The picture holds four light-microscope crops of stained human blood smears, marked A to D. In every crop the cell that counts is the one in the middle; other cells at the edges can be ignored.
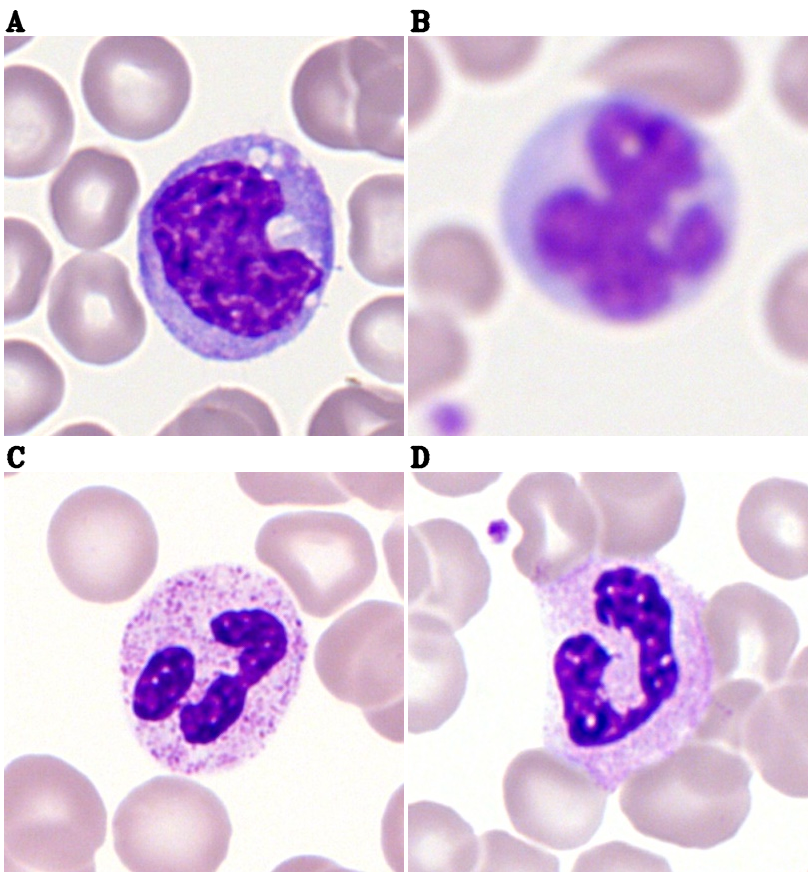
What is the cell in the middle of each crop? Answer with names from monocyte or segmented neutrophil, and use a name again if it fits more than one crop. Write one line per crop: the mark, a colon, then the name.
A: monocyte
B: monocyte
C: segmented neutrophil
D: segmented neutrophil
